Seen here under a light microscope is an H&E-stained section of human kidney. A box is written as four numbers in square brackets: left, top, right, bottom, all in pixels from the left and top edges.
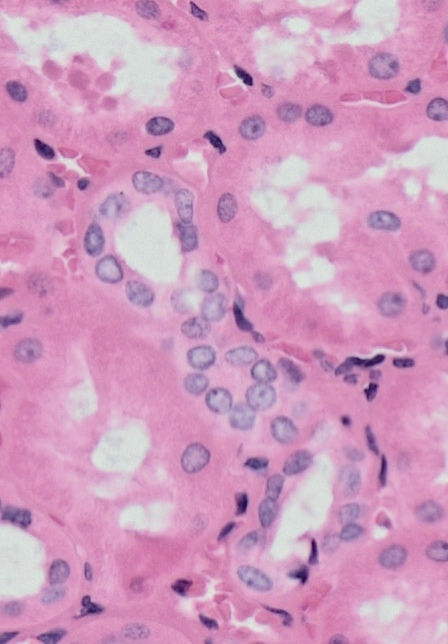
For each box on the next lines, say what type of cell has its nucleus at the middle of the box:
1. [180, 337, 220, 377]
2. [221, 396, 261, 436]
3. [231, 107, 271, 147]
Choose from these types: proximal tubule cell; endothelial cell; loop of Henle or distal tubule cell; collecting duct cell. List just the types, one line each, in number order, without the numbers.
collecting duct cell
collecting duct cell
proximal tubule cell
